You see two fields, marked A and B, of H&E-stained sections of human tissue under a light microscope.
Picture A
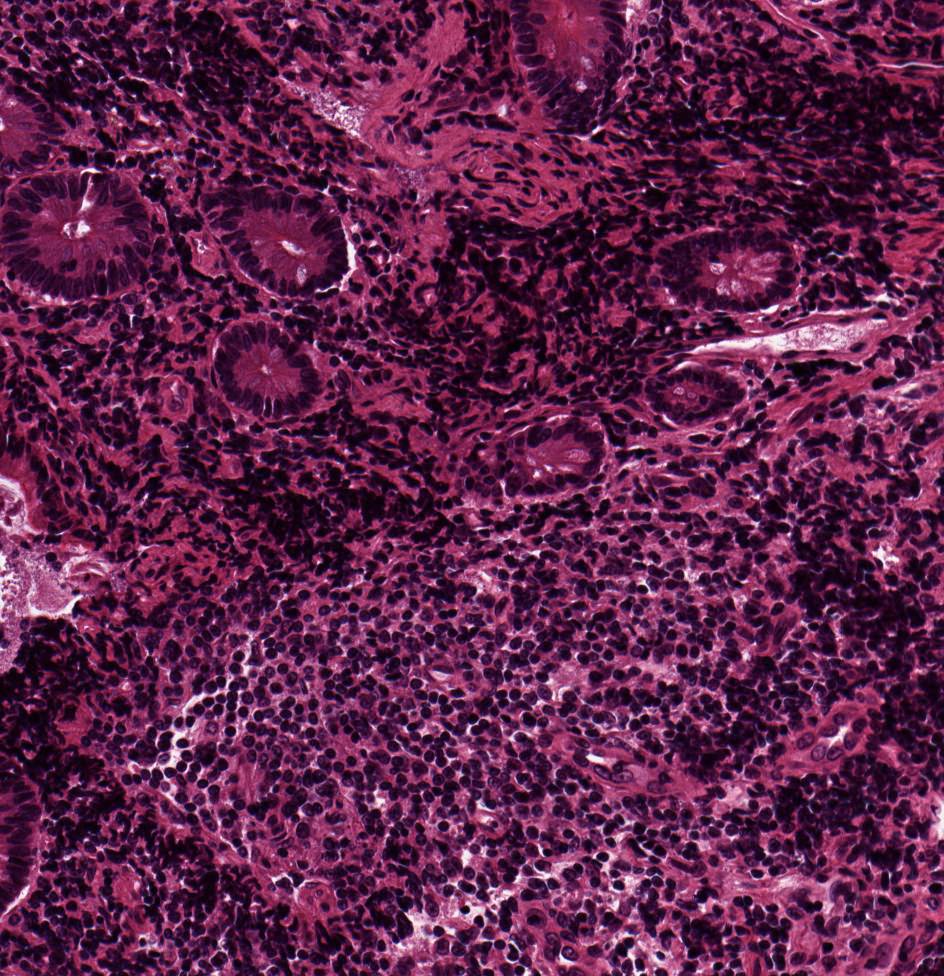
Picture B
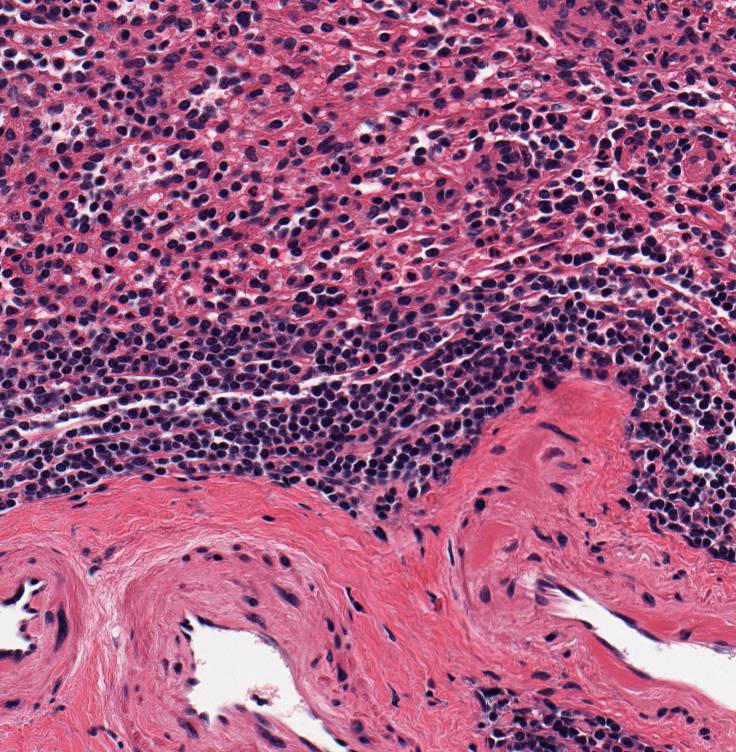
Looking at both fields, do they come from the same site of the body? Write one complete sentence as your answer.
No. Picture A comes from the terminal ileum, whereas picture B comes from the spleen.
